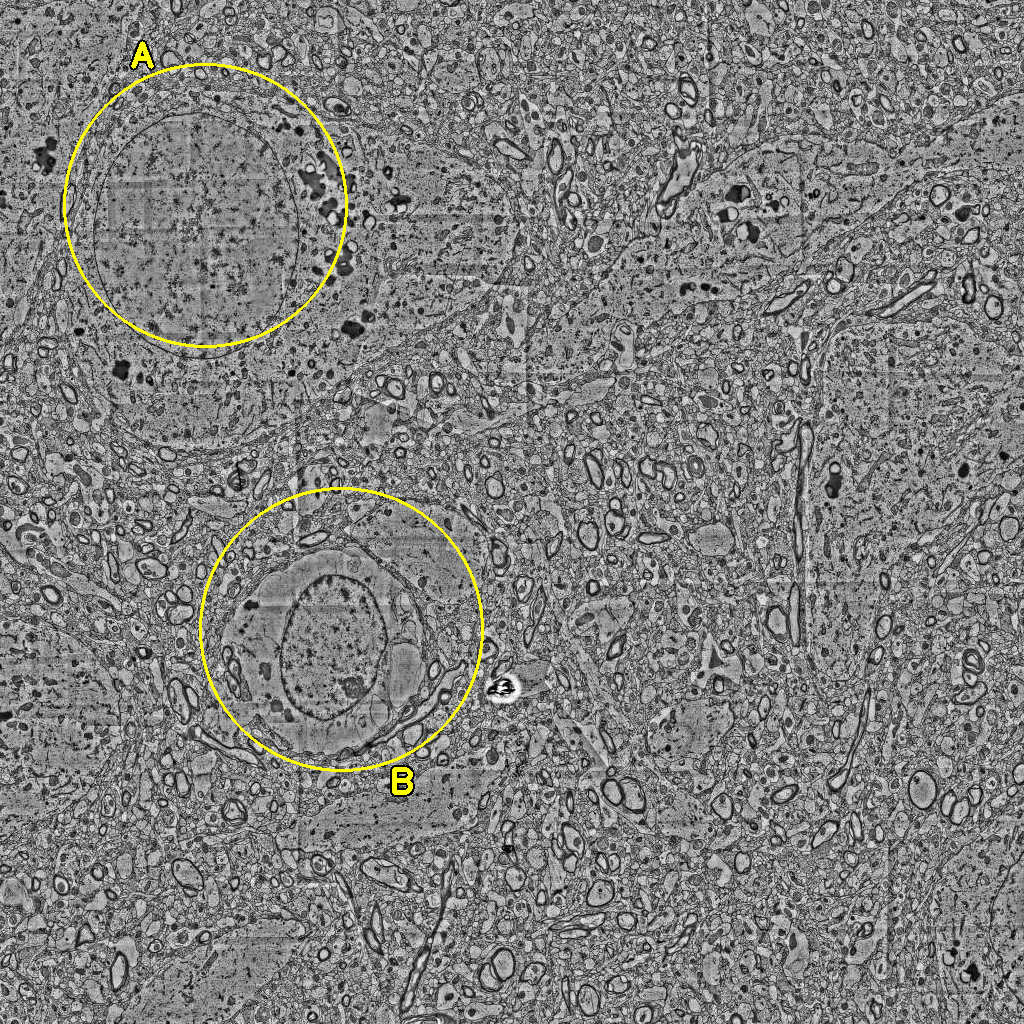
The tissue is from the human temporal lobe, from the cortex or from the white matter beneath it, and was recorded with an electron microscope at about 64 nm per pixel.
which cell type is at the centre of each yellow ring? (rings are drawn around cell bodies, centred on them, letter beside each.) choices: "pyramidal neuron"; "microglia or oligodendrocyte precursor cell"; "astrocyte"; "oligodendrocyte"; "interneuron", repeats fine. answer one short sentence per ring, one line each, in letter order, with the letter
Ring A is a pyramidal neuron.
Ring B is an astrocyte.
